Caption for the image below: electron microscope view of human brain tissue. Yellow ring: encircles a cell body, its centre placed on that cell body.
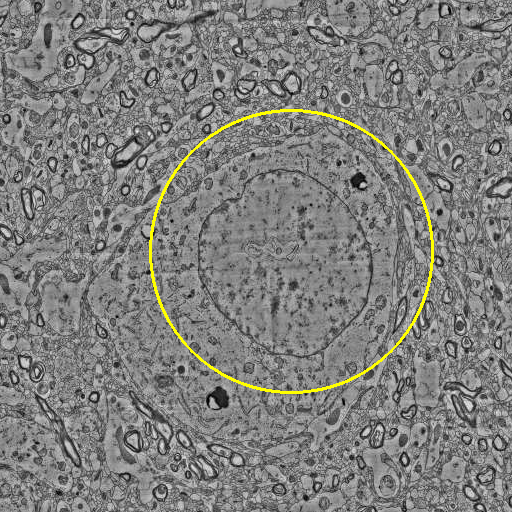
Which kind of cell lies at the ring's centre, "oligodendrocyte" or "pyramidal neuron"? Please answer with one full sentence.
The picture shows a pyramidal neuron at the centre of the yellow ring.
